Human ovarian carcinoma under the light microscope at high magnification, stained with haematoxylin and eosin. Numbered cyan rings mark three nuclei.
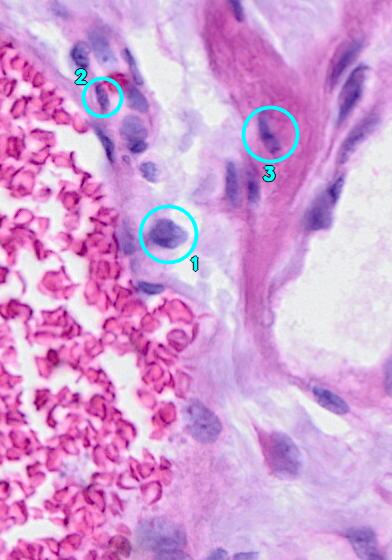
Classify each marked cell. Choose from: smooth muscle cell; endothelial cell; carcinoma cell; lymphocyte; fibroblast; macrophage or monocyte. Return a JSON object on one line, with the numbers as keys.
{"1": "fibroblast", "2": "endothelial cell", "3": "smooth muscle cell"}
